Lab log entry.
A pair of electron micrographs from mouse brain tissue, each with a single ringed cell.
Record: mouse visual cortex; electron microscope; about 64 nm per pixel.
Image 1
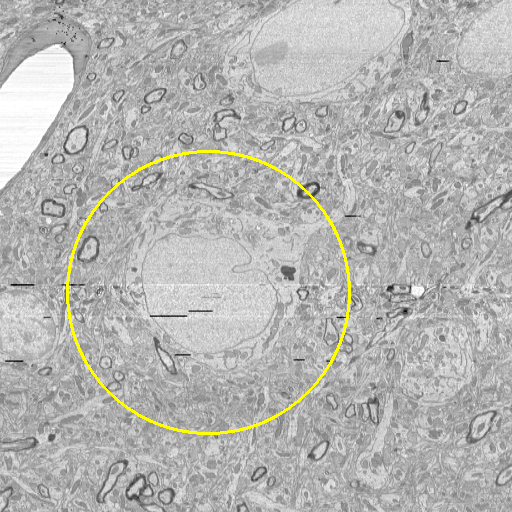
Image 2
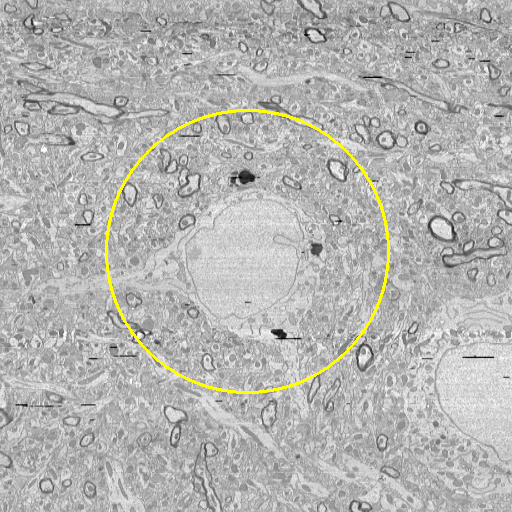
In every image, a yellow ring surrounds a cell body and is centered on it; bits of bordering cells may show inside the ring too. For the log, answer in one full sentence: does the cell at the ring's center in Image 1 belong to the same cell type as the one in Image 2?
Yes, the cells at the ring centers in Image 1 and Image 2 share one type.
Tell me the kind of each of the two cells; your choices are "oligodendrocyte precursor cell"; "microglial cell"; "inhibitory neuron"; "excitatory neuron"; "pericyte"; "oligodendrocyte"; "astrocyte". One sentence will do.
Both pictures show an excitatory neuron at the centre of the ring.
